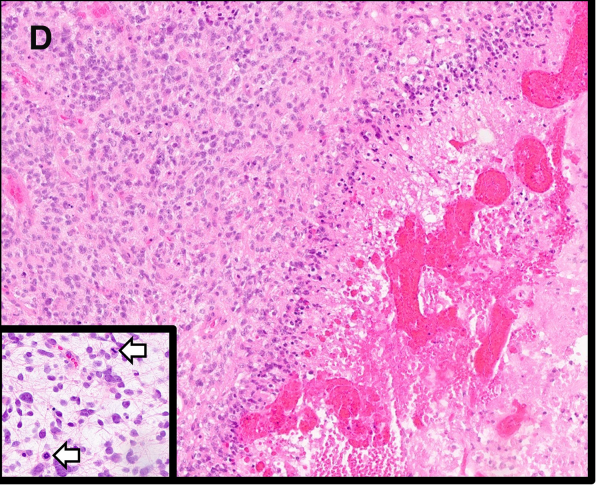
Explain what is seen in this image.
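The left part is densely packed with tumor cells that have crowded, dark, pleomorphic nuclei. The inset shows the tumor cells at higher magnification, with dark, irregular mitotic figures among them.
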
